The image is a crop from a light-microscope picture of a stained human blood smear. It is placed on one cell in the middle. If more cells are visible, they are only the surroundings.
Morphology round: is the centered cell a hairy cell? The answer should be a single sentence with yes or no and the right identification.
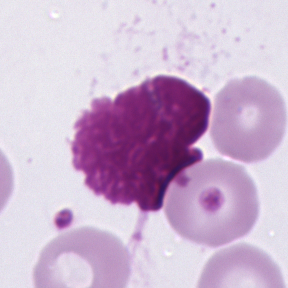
No, the cell at the centre of the crop is a smudge cell and not a hairy cell.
